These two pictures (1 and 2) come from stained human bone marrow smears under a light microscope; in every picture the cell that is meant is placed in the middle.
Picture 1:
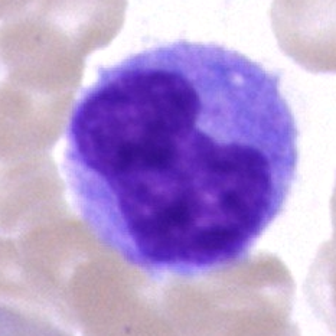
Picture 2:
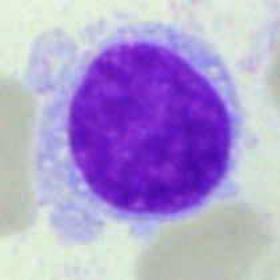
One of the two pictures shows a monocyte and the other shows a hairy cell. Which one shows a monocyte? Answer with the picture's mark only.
1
